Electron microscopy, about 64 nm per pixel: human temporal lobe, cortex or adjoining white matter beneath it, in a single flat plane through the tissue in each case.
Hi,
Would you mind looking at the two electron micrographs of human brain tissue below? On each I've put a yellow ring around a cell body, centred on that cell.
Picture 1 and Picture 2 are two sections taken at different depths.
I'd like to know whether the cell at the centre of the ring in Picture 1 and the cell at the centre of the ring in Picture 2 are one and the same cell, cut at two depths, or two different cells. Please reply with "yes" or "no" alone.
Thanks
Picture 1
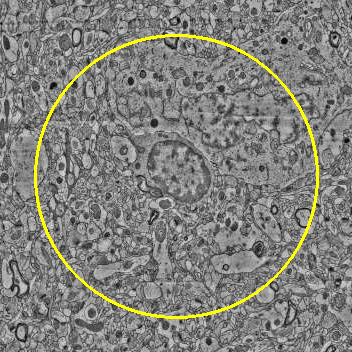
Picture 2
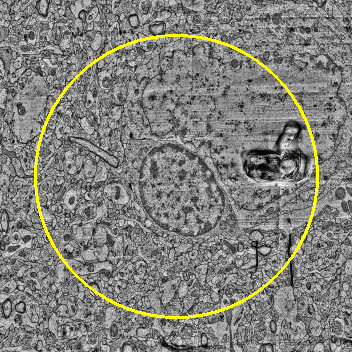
yes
